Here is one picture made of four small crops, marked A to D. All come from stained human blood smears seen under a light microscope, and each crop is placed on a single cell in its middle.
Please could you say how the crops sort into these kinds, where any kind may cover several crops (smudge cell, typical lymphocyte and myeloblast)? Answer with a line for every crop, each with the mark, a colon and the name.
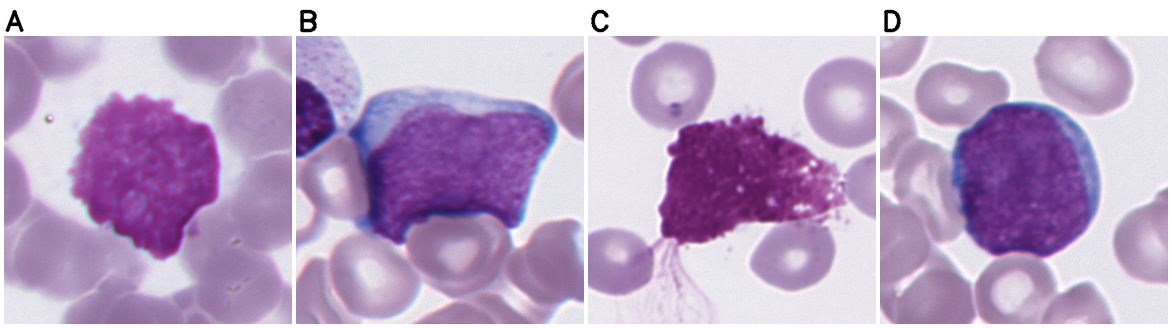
A: smudge cell
B: myeloblast
C: smudge cell
D: myeloblast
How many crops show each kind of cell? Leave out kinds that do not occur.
smudge cell: 2
myeloblast: 2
